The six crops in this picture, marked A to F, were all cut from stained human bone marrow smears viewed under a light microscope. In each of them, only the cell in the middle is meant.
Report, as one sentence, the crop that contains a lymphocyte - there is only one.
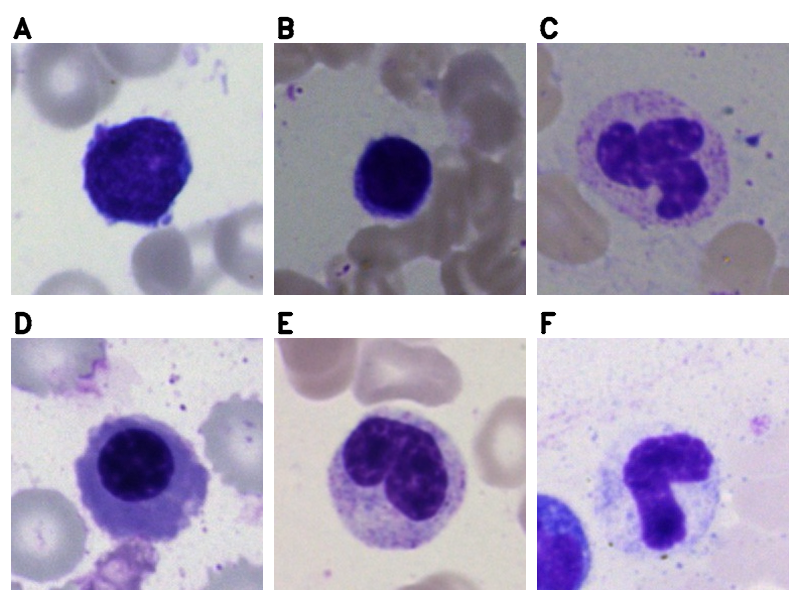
Crop B is where a lymphocyte is shown.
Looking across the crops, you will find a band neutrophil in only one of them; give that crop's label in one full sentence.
In the set of crops, crop F is the one that contains a band neutrophil.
